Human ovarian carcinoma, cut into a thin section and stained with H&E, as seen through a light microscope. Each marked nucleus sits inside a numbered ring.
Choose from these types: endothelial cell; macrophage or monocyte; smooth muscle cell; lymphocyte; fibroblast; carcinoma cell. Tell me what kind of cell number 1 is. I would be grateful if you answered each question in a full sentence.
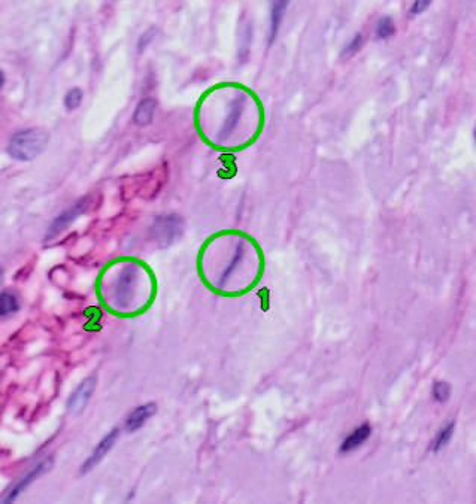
The cell carrying label 1 is identified as a fibroblast.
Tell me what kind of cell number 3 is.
Number 3 among the marked cells is a fibroblast.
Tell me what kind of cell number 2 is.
Corresponding to an endothelial cell is the cell labelled 2.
